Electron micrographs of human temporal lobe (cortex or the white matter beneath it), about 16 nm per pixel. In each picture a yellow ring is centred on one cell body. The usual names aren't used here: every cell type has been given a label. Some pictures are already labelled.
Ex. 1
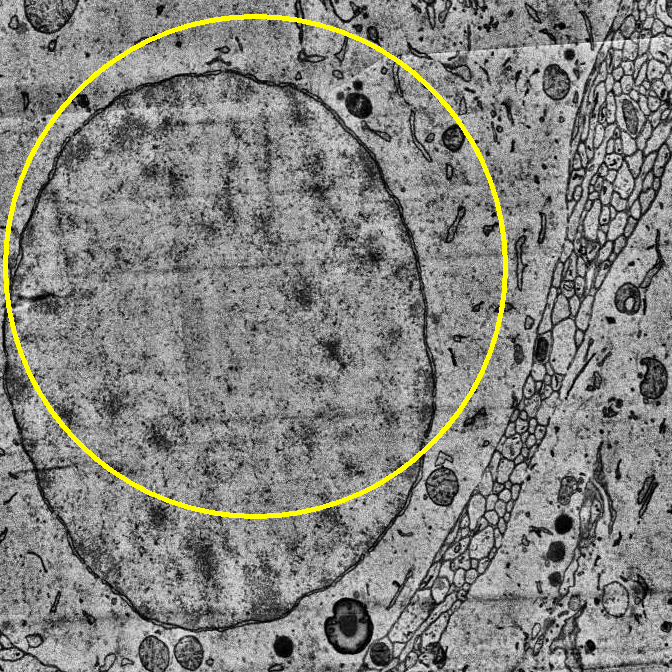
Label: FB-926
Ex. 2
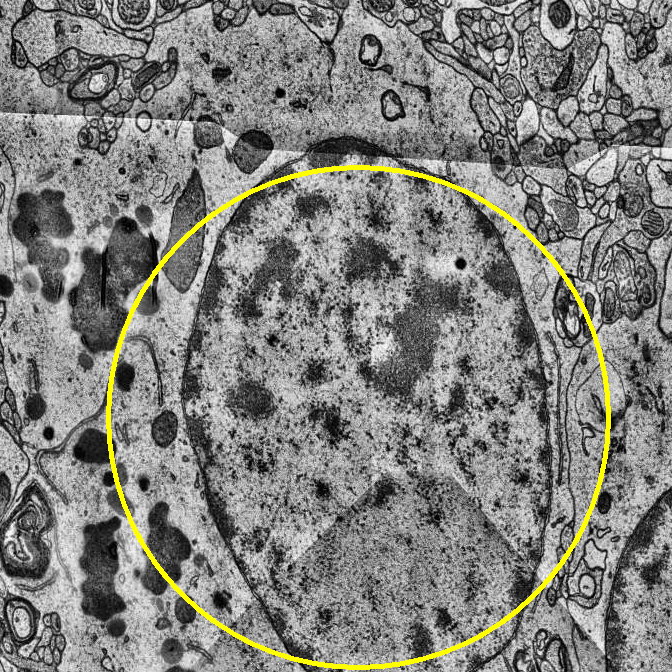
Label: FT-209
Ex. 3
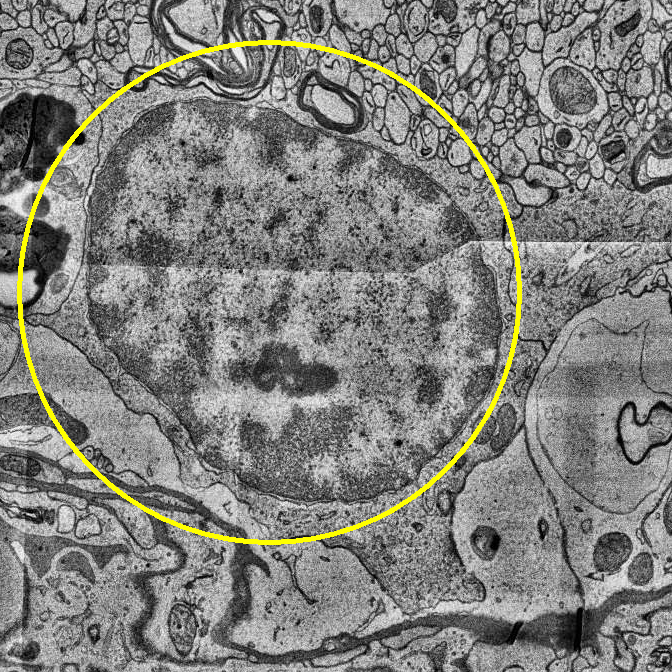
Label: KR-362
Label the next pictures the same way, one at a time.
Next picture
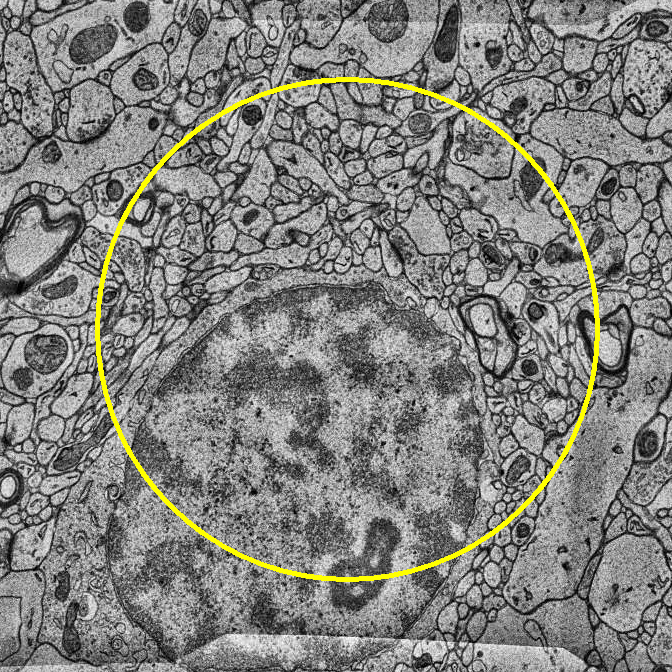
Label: KR-362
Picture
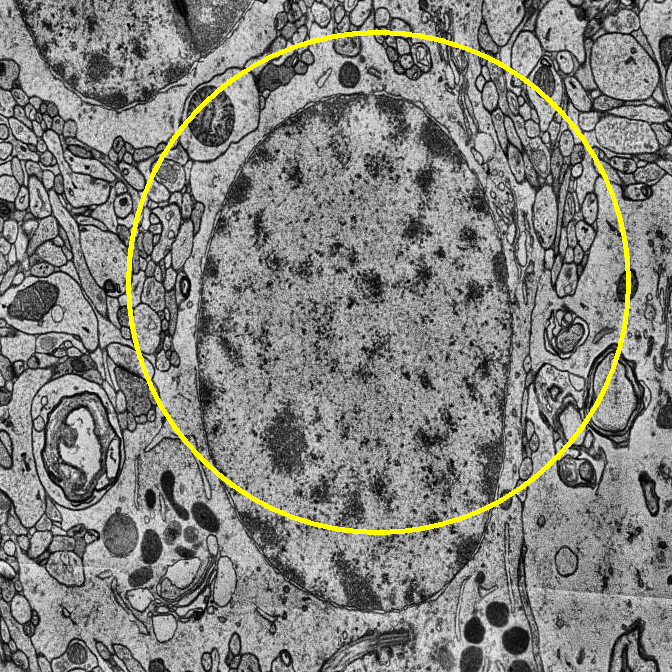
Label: FT-209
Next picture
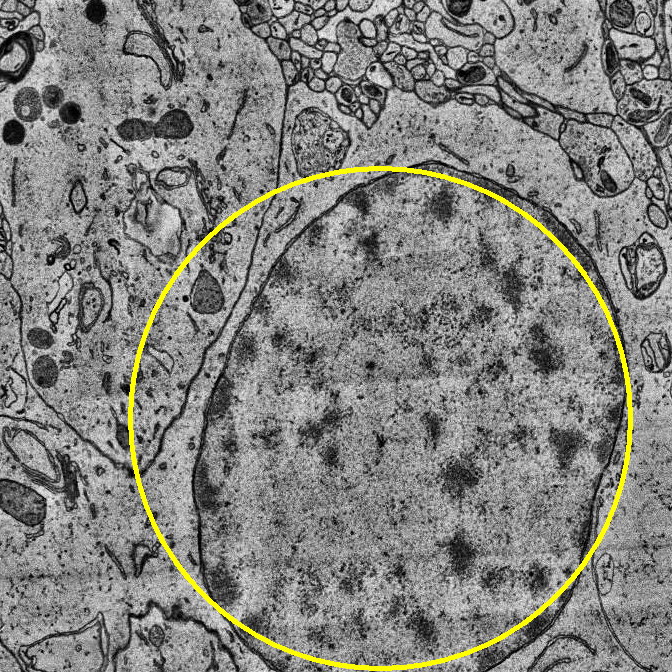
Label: FT-209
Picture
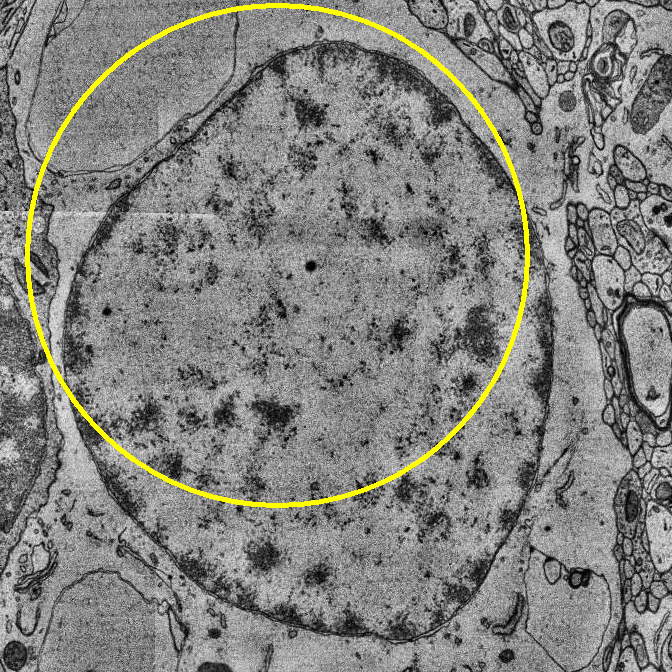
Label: FT-209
